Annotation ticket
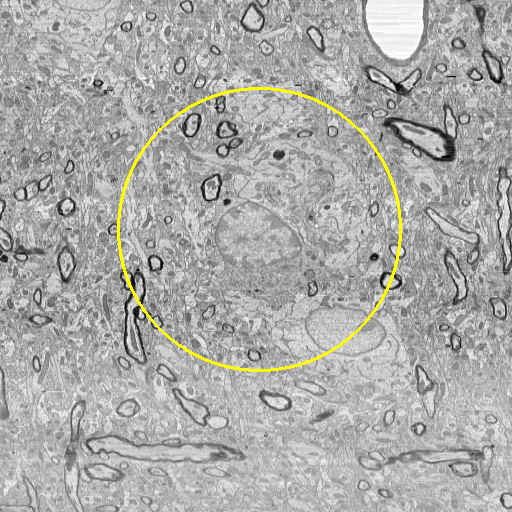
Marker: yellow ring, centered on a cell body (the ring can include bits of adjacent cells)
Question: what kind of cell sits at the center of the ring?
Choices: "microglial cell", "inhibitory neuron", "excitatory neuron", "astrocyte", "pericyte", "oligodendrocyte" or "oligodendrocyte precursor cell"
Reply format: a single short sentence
The ring is centered on an oligodendrocyte.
